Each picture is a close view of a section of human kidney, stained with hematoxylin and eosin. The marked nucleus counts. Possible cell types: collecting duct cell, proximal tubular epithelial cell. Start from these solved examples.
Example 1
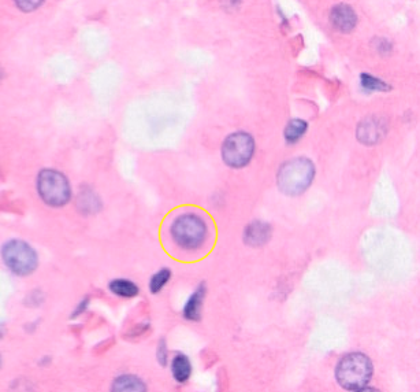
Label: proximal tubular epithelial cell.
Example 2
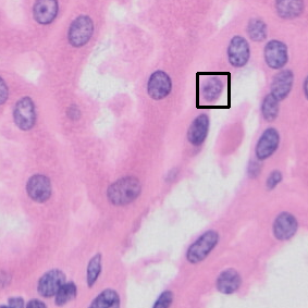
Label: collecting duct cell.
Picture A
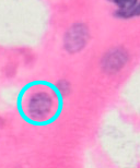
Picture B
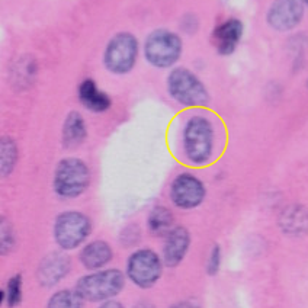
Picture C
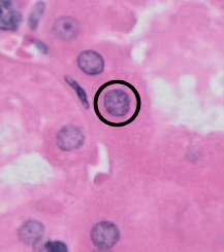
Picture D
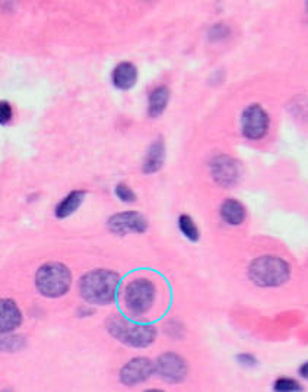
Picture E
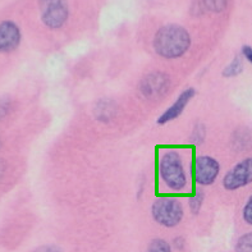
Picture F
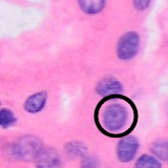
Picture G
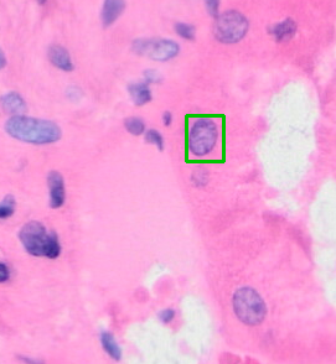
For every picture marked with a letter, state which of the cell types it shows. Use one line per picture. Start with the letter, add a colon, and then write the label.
A: proximal tubular epithelial cell.
B: collecting duct cell.
C: proximal tubular epithelial cell.
D: collecting duct cell.
E: collecting duct cell.
F: collecting duct cell.
G: proximal tubular epithelial cell.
